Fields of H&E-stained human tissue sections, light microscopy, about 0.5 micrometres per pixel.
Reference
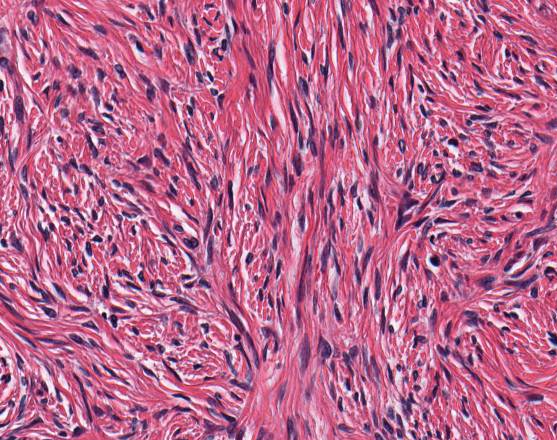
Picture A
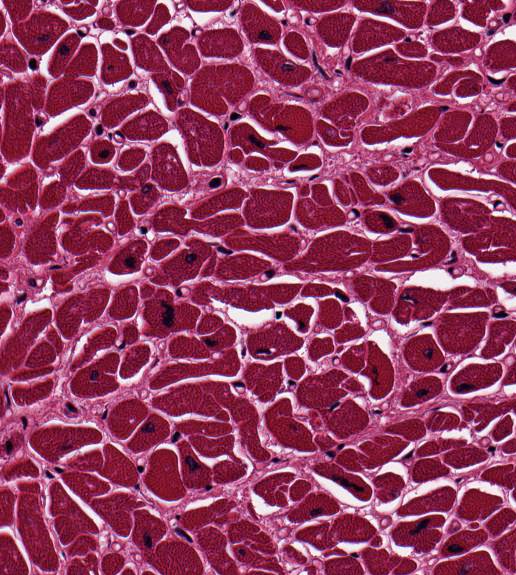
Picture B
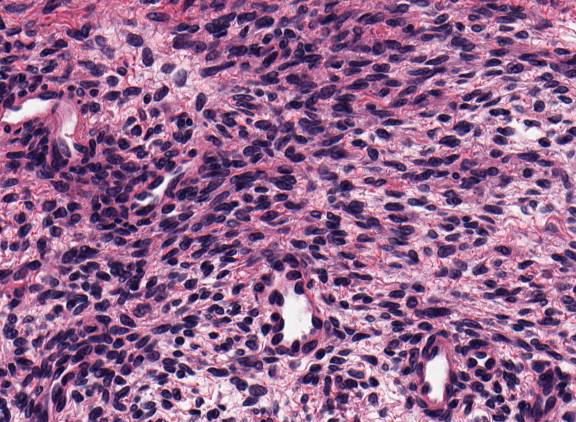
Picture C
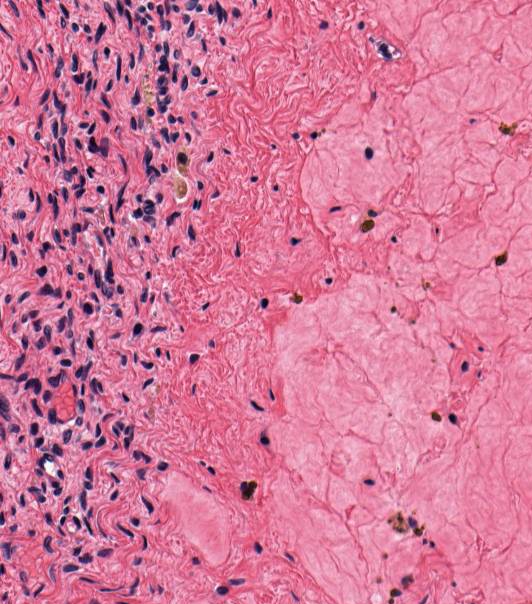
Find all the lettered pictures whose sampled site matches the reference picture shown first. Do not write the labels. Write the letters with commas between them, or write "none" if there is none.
B, C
